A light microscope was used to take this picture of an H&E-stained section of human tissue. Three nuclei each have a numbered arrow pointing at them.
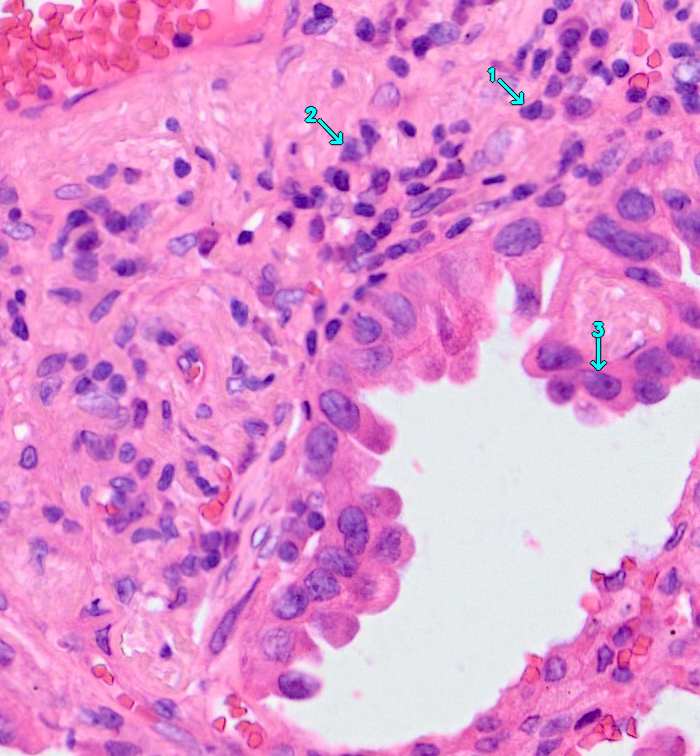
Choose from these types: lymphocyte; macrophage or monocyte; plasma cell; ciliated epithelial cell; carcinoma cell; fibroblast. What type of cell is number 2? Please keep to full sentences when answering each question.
The cell numbered 2 represents a lymphocyte.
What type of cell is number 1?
Identified as a lymphocyte is the cell bearing the number 1.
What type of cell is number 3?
The cell whose nucleus carries the number 3 is a carcinoma cell.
